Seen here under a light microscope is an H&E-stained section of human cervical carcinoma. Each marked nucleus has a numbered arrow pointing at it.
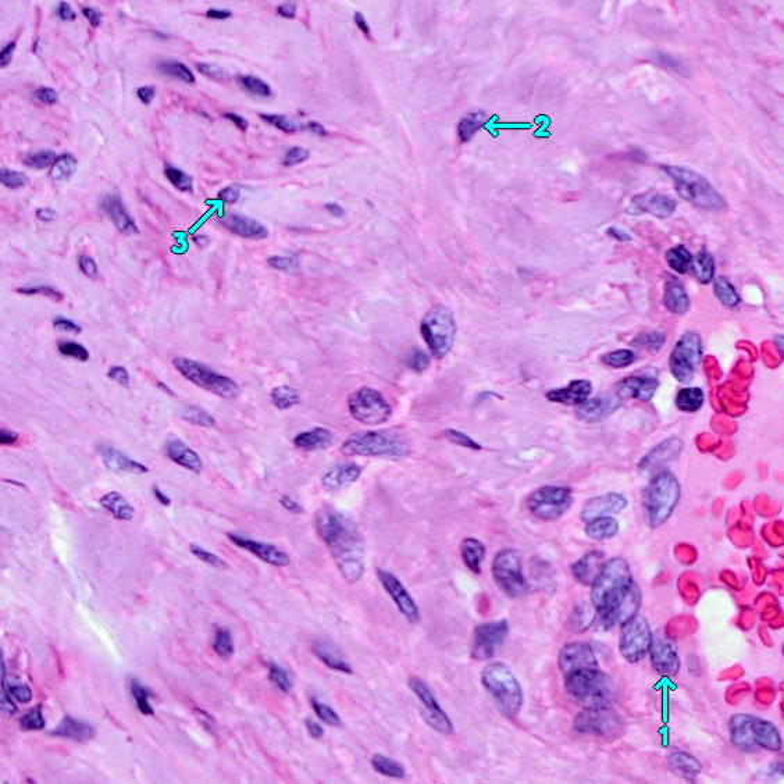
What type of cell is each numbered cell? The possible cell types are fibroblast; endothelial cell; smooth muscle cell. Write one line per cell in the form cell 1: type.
cell 1: endothelial cell
cell 2: fibroblast
cell 3: smooth muscle cell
